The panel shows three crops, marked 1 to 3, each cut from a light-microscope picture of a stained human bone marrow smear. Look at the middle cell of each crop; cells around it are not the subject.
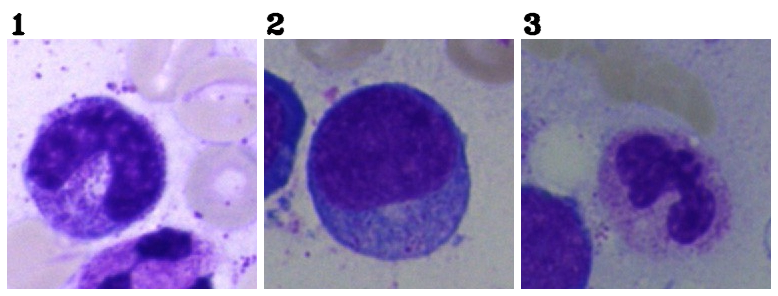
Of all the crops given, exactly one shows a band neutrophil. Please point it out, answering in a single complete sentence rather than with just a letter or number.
The one showing a band neutrophil is the crop labelled 1.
